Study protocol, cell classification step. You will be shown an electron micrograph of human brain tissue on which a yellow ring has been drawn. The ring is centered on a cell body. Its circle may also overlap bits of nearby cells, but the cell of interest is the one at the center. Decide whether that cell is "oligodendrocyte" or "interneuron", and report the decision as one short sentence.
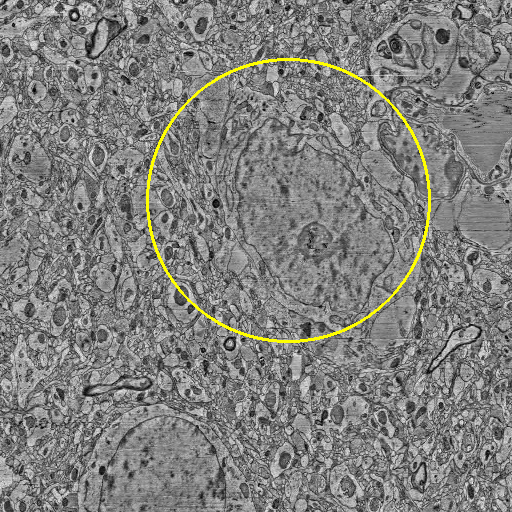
The marked cell is an interneuron.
